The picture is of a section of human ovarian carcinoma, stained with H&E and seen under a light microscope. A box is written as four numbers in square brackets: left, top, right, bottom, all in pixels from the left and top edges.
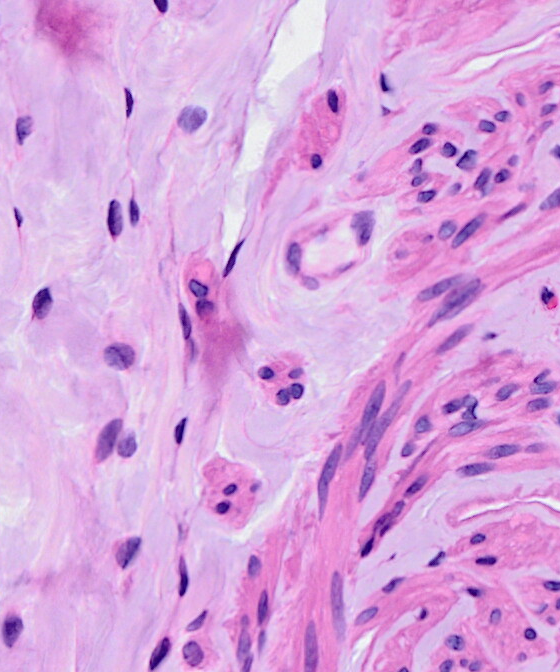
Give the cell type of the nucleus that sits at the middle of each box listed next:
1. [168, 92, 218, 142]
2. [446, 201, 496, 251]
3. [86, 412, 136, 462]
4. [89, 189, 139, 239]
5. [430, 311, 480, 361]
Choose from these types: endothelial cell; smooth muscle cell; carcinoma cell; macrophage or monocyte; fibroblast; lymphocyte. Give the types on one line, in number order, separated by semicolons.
fibroblast; smooth muscle cell; fibroblast; fibroblast; smooth muscle cell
